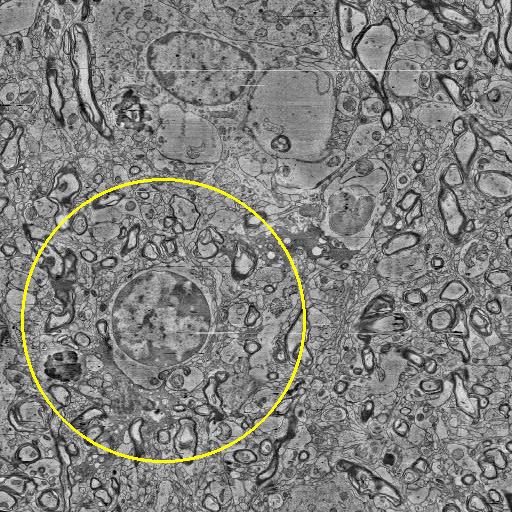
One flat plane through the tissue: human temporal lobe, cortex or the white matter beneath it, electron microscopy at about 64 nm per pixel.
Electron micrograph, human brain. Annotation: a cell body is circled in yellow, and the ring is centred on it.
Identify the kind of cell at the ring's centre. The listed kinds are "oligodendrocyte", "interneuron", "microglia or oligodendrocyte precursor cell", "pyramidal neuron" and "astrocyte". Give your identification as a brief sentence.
The circled cell body is that of a microglial cell or oligodendrocyte precursor cell.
